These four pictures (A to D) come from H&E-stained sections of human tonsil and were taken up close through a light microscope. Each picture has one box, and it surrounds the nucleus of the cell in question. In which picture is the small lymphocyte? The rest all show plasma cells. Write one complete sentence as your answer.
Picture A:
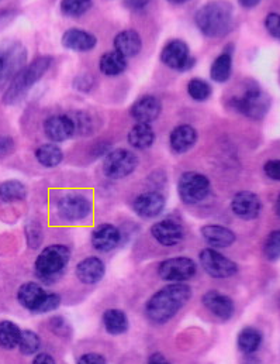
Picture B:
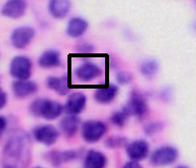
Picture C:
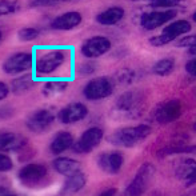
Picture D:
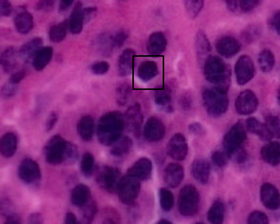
The picture with the small lymphocyte is B.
